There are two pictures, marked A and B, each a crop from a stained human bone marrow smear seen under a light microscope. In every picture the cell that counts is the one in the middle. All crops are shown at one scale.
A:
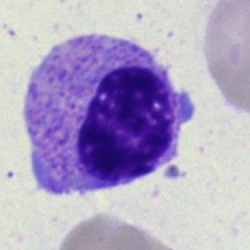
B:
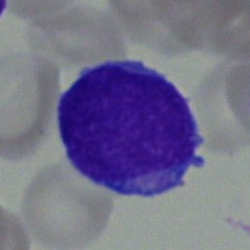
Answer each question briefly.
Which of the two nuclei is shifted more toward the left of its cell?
B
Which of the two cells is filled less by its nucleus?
A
